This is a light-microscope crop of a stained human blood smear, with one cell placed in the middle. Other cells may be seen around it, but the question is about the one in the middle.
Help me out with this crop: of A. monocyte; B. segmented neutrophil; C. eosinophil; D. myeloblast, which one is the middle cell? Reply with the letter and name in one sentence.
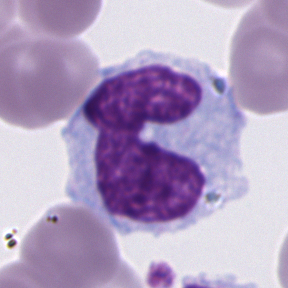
Option A correctly names the cell in the middle as a monocyte.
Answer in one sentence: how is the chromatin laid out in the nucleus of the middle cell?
The chromatin remains finely textured, with no coarse clumps to speak of.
